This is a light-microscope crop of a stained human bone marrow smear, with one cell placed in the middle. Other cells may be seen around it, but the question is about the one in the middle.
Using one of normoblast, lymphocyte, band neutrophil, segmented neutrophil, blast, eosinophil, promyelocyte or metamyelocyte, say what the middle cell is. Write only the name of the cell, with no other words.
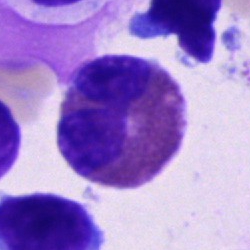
eosinophil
